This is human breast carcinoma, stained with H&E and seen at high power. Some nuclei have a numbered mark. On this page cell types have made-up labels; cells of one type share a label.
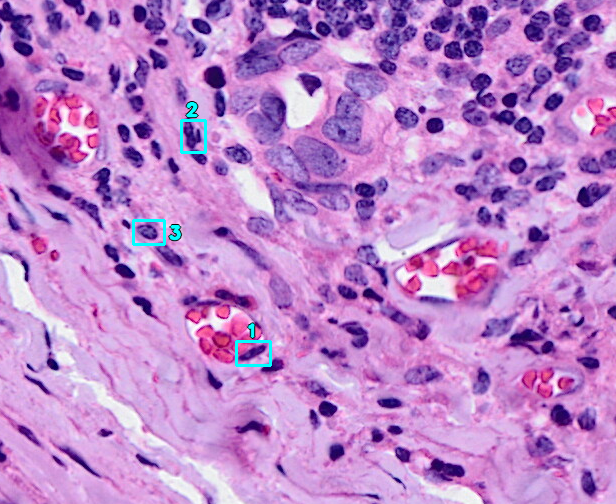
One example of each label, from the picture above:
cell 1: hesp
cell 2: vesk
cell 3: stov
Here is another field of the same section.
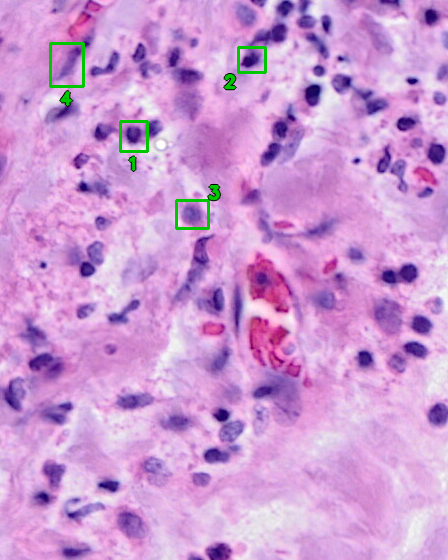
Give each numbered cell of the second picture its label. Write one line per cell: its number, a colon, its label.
1: vesk
2: vesk
3: stov
4: hesp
